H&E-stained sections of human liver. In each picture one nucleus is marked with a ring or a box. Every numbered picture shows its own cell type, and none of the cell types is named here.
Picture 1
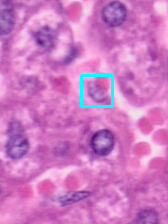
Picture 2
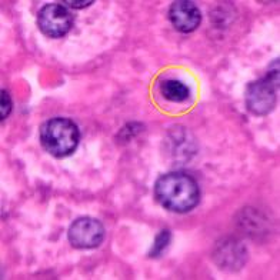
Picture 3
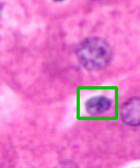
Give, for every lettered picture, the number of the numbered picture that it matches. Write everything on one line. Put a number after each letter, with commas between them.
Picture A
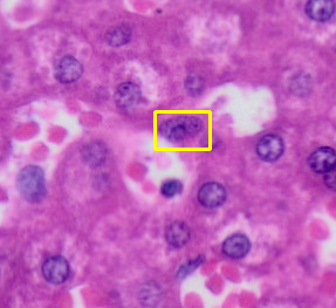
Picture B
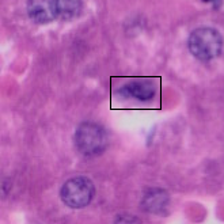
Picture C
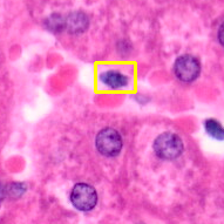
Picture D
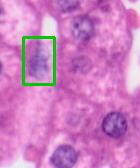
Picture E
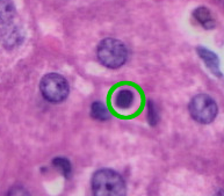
A 1, B 1, C 2, D 3, E 2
